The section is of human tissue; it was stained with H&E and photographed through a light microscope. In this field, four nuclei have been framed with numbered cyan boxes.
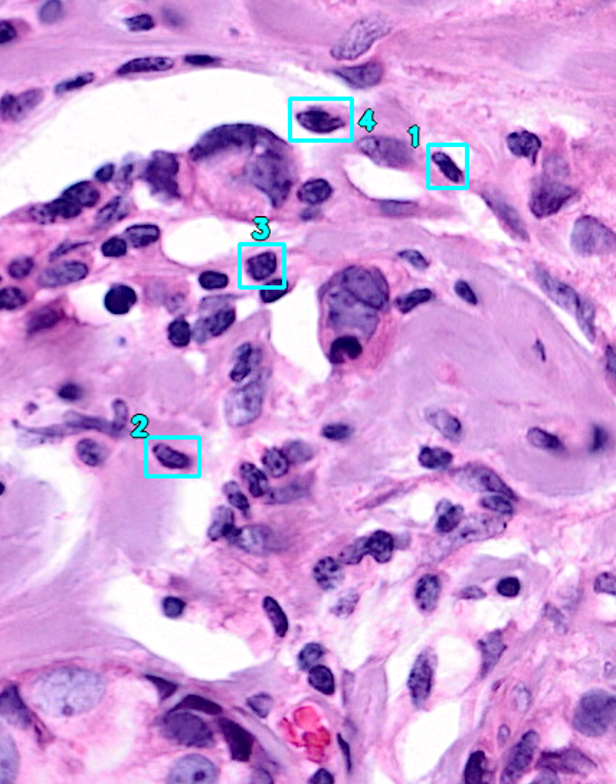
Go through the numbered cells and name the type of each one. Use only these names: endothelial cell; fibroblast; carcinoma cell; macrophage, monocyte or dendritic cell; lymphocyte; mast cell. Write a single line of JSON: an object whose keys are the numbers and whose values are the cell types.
{"1": "lymphocyte", "2": "mast cell", "3": "lymphocyte", "4": "lymphocyte"}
